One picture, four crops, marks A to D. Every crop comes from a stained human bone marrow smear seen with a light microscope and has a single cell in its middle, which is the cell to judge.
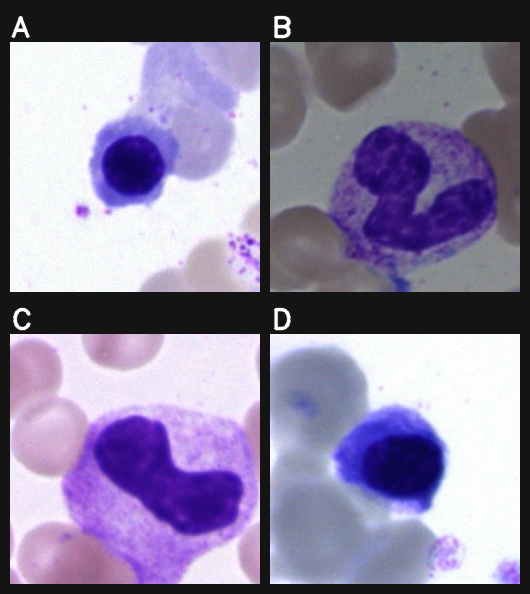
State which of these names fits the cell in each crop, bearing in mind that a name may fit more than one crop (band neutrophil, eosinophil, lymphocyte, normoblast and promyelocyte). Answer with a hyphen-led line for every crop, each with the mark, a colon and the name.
- A: normoblast
- B: band neutrophil
- C: band neutrophil
- D: normoblast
